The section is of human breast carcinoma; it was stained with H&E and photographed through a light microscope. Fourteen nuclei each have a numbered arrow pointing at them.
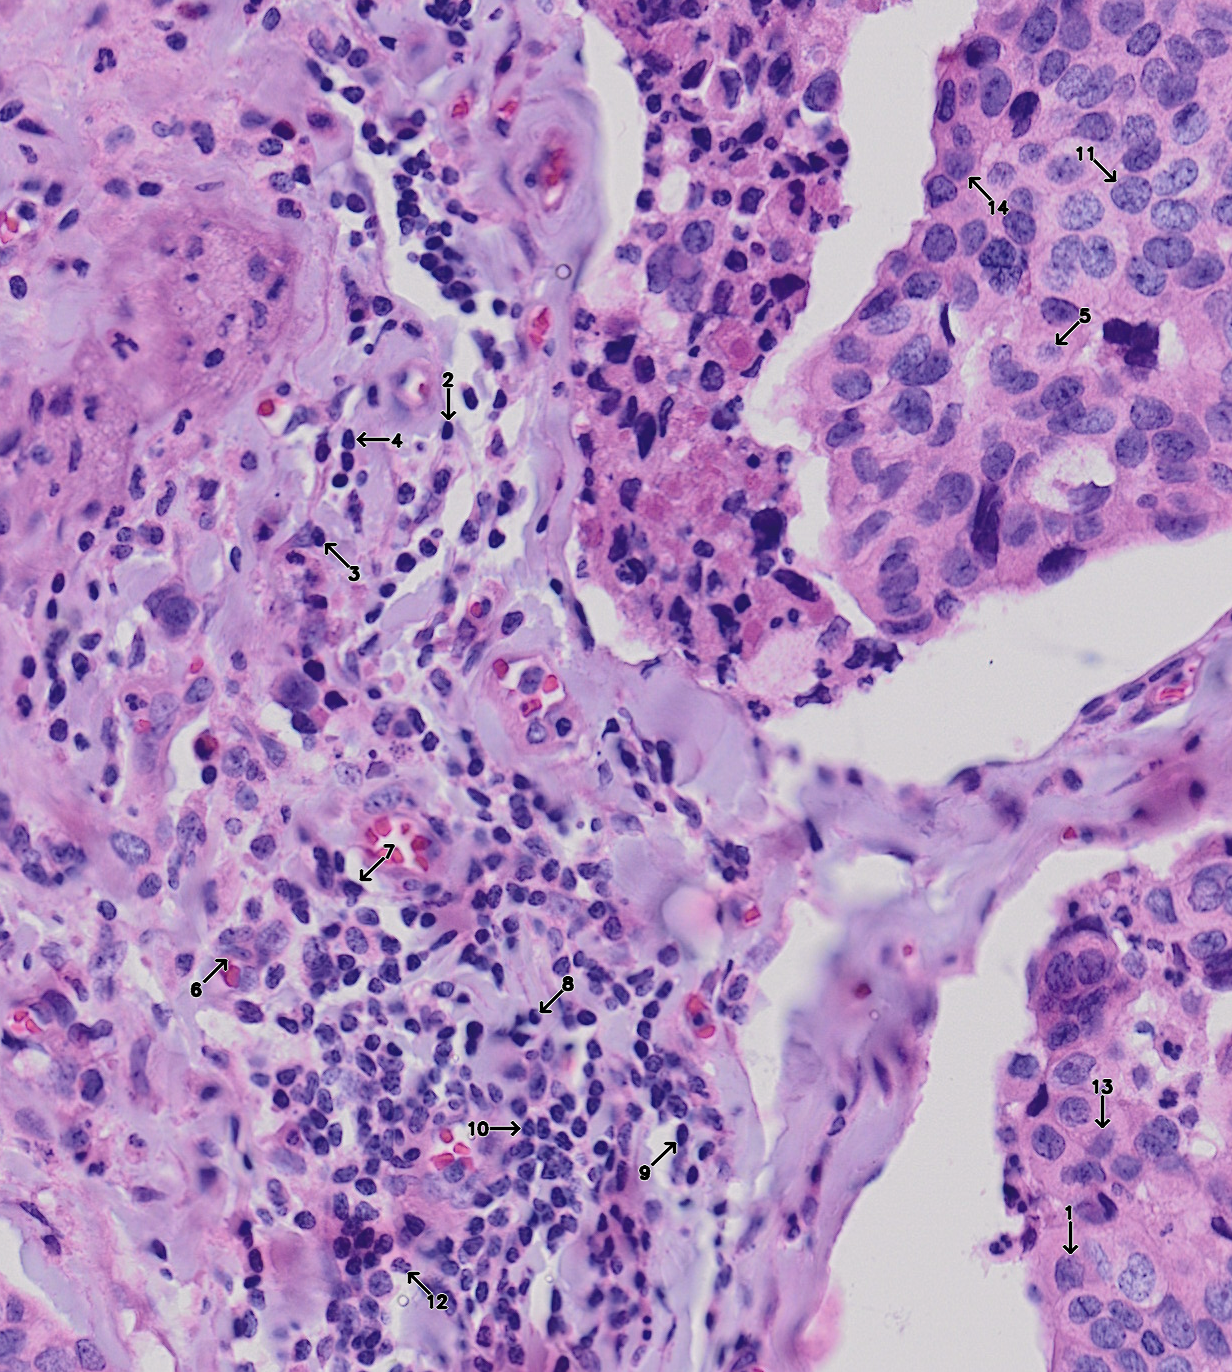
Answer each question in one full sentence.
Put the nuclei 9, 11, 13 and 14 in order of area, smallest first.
The order from the smallest nucleus to the largest is 9, 13, 14, 11.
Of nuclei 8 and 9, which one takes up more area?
Nucleus 9 is larger, with an area about 1.5 times that of nucleus 8.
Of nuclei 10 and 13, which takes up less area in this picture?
With nucleus 13 about 2 times its size, nucleus 10 is the smaller of the two.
